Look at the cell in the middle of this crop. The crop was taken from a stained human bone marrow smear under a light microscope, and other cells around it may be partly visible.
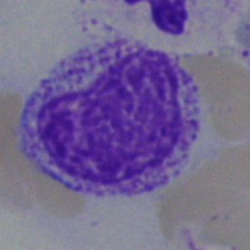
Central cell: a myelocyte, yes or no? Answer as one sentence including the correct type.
Yes, as for the central cell, it is a myelocyte.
